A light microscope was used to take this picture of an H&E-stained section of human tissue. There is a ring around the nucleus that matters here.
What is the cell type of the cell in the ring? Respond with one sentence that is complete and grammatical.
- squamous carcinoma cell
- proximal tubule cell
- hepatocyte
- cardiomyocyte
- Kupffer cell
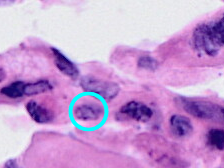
It is a squamous carcinoma cell that the cell in the ring represents.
